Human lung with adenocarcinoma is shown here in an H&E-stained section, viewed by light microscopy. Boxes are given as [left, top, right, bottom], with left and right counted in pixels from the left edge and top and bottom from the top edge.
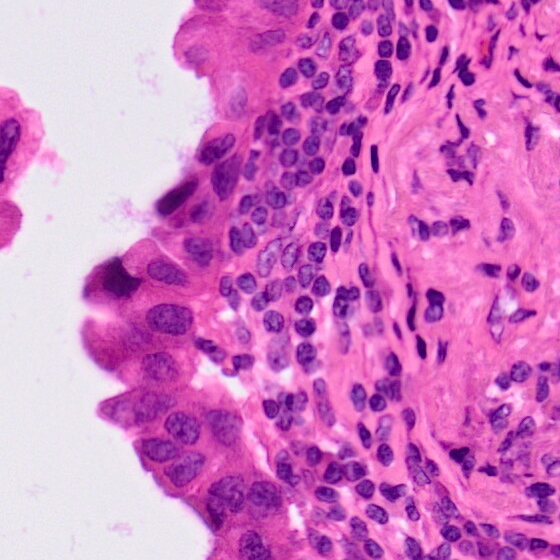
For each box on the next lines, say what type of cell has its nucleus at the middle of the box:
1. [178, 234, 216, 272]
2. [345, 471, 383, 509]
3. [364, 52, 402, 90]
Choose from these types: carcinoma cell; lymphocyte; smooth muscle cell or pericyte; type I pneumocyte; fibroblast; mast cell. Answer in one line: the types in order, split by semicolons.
carcinoma cell; lymphocyte; lymphocyte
